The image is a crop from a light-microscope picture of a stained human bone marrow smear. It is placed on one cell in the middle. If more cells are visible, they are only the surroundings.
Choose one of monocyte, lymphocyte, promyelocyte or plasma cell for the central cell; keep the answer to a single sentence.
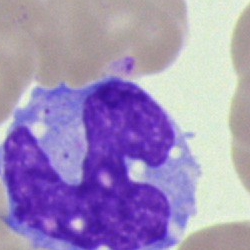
The cell shown in the center of this light-microscope crop is a monocyte.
